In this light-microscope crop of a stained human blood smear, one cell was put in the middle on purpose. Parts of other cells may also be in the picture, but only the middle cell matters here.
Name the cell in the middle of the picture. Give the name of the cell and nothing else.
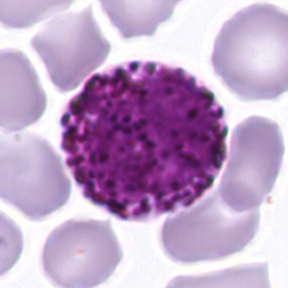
basophil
